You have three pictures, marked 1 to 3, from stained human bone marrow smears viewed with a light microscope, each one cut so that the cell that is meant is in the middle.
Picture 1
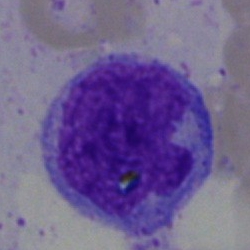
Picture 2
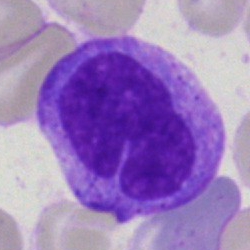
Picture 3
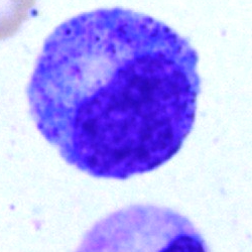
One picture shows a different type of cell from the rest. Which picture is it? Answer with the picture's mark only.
3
